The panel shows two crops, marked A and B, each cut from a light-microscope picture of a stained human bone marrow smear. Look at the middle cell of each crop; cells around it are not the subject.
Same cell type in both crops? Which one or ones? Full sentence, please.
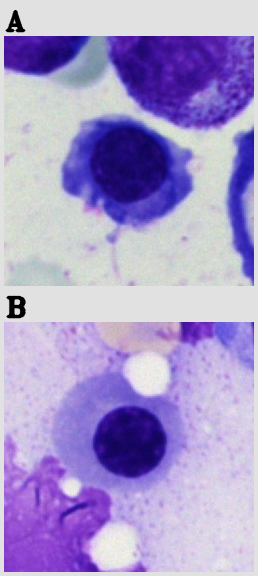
Yes, the cells in the centres of the two crops are erythroblasts.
